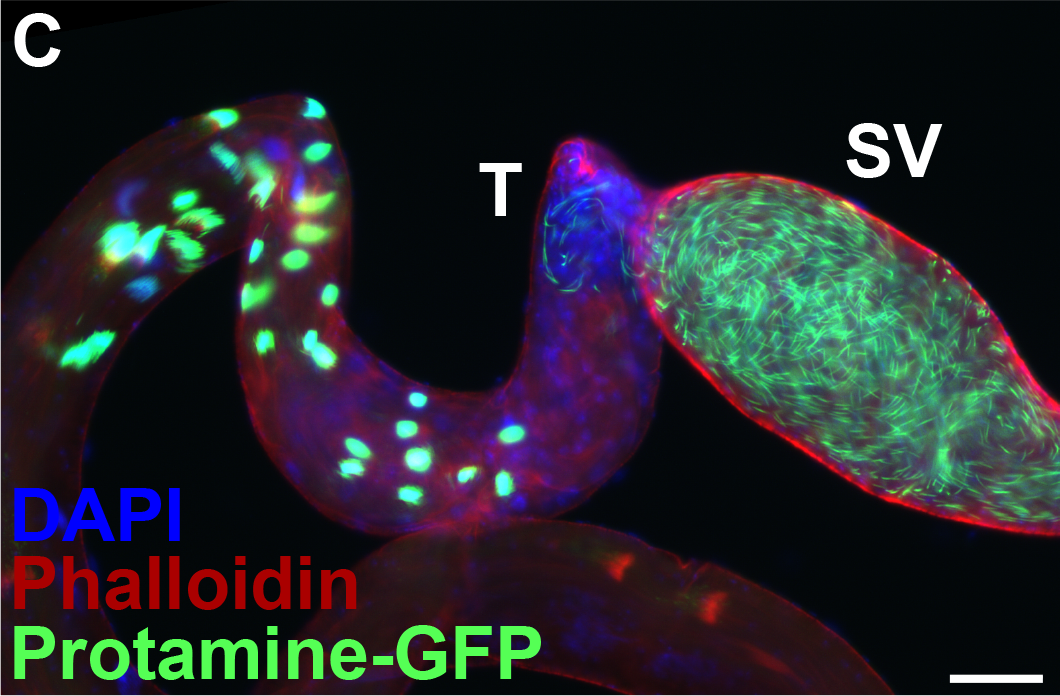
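Coiled posterior testis tube joined to an oval seminal vesicle densely filled with sperm. Within the testis tube lie clustered bright green-cyan oval bundles of condensing sperm nuclei, spaced along the tube. The tube wall is outlined in red with diffuse blue nuclei throughout. The seminal vesicle is bounded by a thin red muscular rim and packed with countless thin, needle-shaped green sperm heads in swirling arrays.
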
